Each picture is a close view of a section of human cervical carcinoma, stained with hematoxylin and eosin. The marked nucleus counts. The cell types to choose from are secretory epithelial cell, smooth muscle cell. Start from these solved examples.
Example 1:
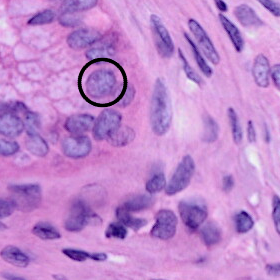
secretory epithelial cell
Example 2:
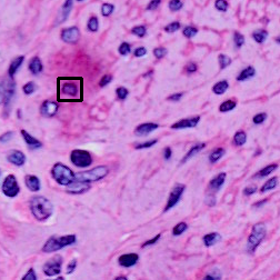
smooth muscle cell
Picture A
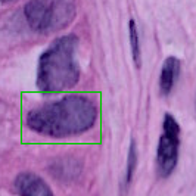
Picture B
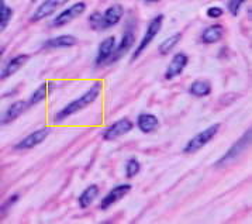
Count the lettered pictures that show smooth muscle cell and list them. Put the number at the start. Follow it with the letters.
Count: 1 (B)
